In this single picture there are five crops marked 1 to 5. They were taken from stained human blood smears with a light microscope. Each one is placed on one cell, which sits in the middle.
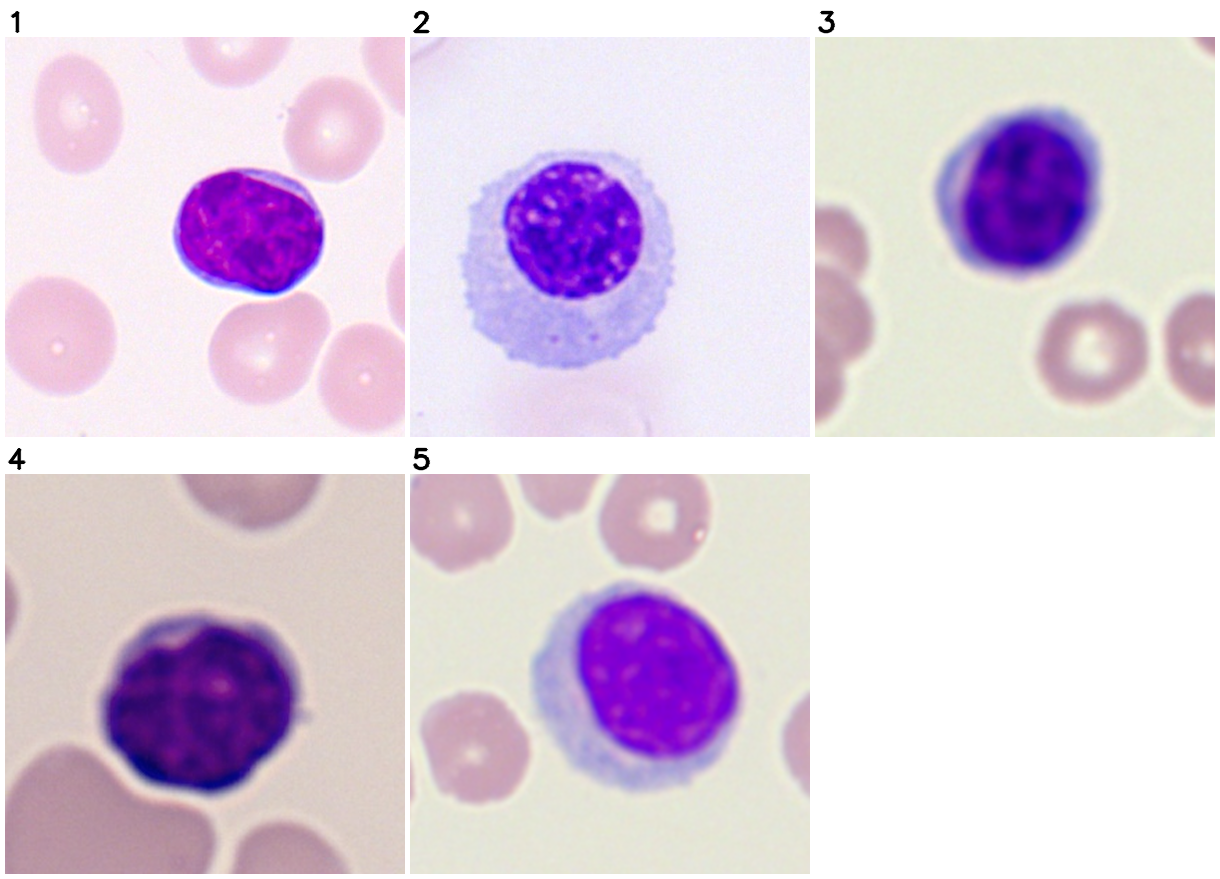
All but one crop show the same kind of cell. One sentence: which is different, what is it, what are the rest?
Crop 2 is different, showing an erythroblast, whereas all the others show lymphocytes.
